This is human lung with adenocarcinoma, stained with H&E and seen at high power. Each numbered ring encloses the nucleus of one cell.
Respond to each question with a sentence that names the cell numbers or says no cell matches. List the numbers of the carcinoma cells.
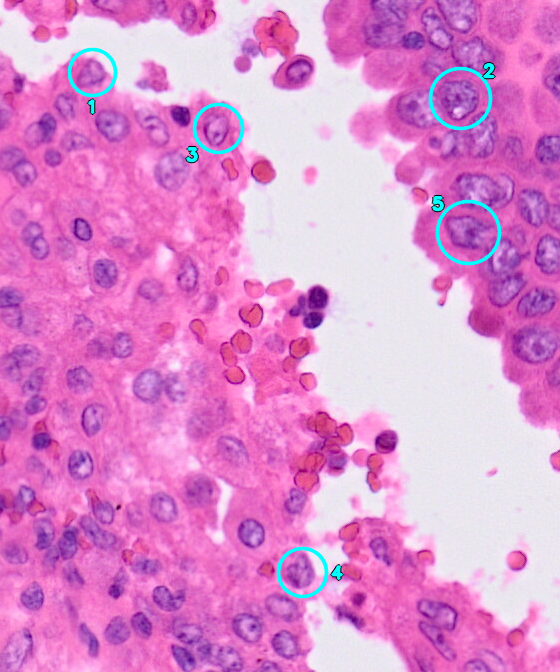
Cells 2 and 5 are classified as carcinoma cells.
